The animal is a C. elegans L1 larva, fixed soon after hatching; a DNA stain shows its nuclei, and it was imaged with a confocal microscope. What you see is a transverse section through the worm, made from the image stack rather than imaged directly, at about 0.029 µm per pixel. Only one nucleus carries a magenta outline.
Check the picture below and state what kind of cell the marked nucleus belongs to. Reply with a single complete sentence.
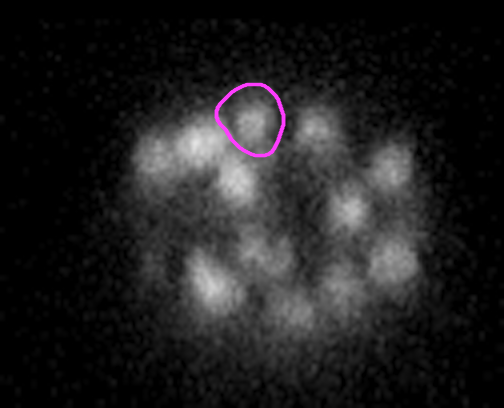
The nucleus comes from a seam cell.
